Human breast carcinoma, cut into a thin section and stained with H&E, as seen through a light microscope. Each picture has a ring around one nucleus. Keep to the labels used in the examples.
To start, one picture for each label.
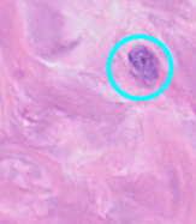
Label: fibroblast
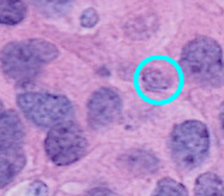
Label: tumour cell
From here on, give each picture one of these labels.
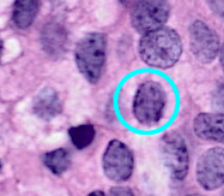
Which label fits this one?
tumour cell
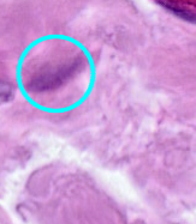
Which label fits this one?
fibroblast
